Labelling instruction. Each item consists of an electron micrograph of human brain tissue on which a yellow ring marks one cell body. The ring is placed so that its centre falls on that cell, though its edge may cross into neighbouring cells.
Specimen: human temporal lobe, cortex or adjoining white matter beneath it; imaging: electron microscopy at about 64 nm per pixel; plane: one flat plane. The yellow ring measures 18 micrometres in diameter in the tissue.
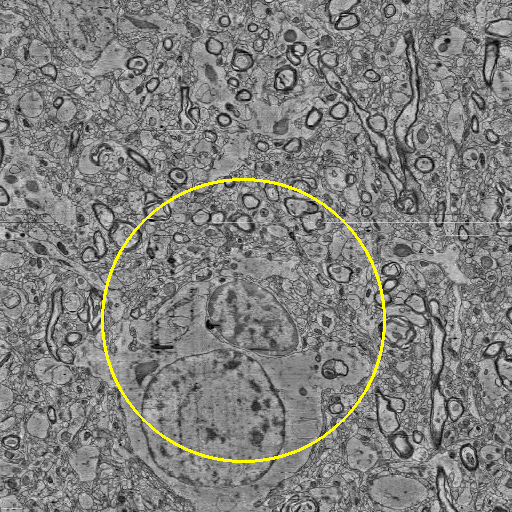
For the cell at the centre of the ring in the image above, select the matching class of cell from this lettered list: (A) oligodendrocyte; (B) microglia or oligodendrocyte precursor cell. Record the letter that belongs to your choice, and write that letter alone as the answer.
B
